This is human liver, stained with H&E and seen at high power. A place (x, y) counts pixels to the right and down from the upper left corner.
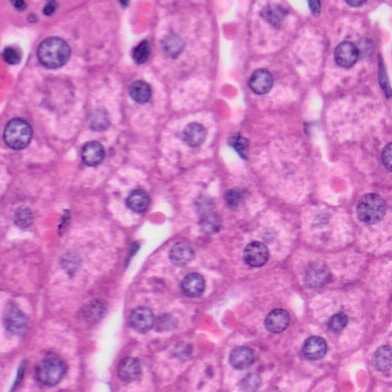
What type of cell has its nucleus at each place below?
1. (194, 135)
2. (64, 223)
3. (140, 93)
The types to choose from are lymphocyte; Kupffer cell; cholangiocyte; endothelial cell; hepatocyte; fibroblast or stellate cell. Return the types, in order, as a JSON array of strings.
["hepatocyte", "endothelial cell", "hepatocyte"]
